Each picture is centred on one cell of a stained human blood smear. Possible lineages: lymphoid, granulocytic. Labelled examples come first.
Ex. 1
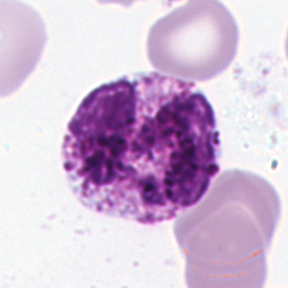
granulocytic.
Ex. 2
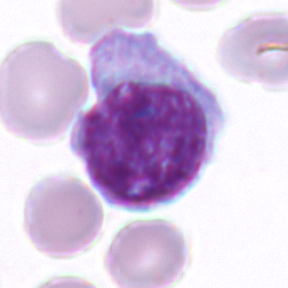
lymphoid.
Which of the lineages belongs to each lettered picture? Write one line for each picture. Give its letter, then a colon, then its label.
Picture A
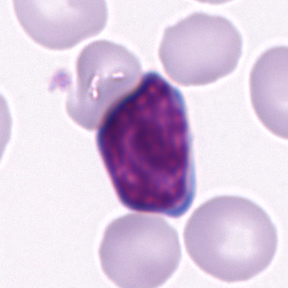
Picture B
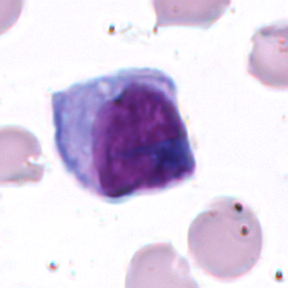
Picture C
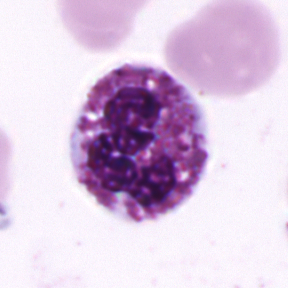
A: lymphoid.
B: lymphoid.
C: granulocytic.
